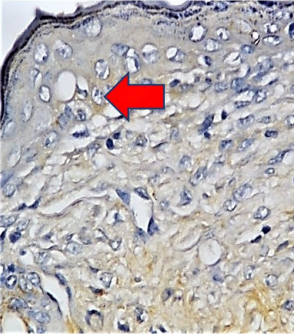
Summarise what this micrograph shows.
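A section of skin with epidermal keratinocytes at the top under a thin dark surface layer and connective tissue below. Most nuclei are blue and the background is pale, with only faint, scattered brown staining.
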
